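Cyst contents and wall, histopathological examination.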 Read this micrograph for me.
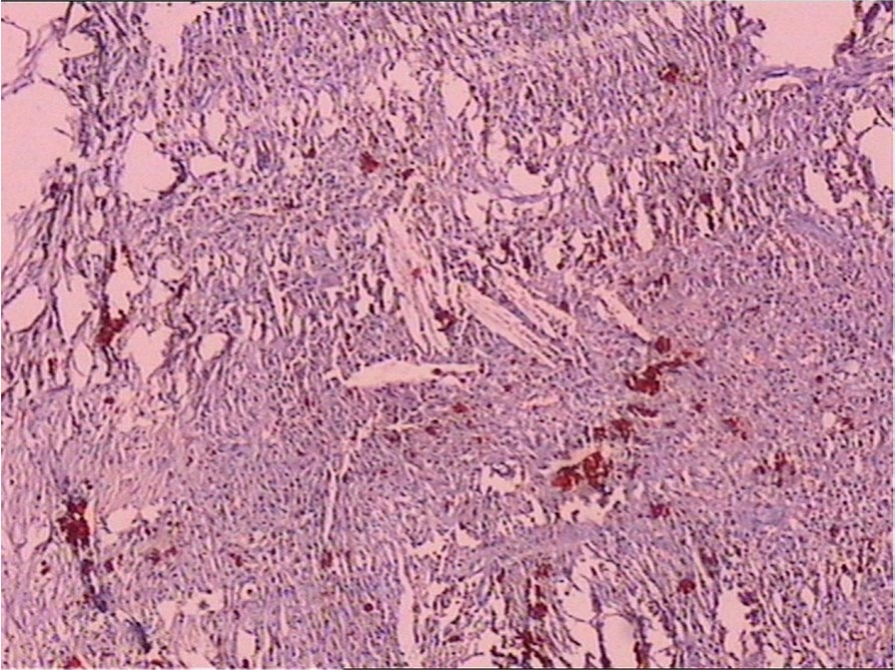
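At low magnification, a densely cellular, fibrous-looking tissue fills the field. It is made of pale purple spindly cells and fibres, and its edges are interrupted by many rounded clear spaces. Near the centre, several elongated, empty, needle-shaped clefts with pointed ends lie among the cells; these are cholesterol clefts. Coarse clumps of dark red-brown material are scattered throughout, especially around the clefts and the clear spaces, consistent with altered blood pigment in a cholesterol granuloma.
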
